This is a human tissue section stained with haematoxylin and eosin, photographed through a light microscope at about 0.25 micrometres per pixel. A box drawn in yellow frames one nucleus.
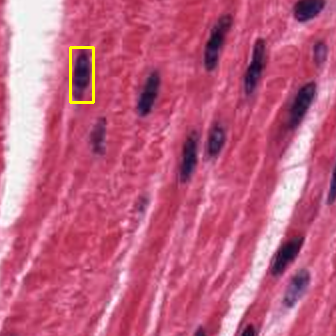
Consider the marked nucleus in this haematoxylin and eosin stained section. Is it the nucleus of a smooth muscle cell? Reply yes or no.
yes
